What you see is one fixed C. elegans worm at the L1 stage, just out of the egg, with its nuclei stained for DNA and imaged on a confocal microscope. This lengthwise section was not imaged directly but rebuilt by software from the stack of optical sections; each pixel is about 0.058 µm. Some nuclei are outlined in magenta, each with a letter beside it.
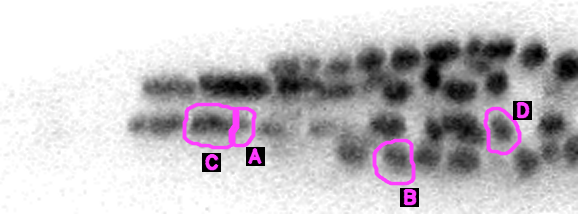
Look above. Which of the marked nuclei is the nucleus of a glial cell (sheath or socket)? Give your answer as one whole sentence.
Nucleus B belongs to a glial cell (sheath or socket).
